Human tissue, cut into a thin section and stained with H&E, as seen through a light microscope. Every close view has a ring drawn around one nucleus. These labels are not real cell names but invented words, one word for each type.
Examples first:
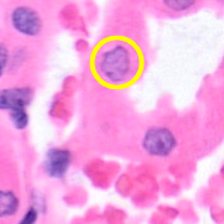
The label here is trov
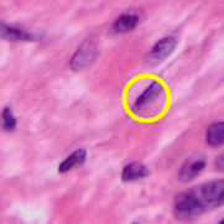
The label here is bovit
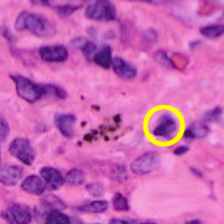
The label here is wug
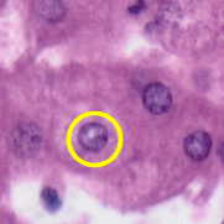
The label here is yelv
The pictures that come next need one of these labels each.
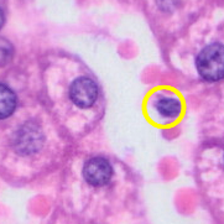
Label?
wug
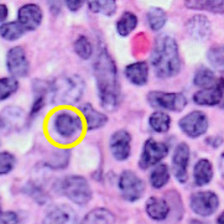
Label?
wug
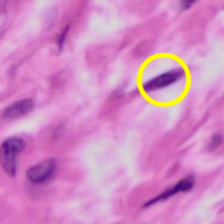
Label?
bovit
